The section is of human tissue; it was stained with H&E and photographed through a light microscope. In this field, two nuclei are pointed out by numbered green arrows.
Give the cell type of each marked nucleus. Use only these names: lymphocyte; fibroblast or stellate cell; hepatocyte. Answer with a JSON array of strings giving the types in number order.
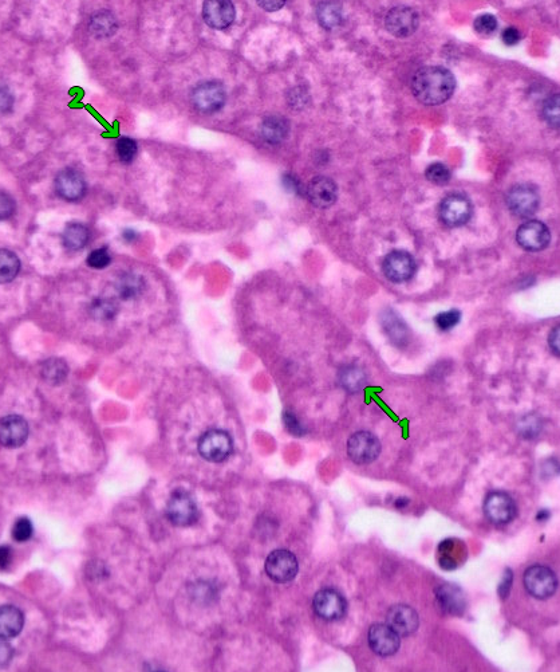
["hepatocyte", "fibroblast or stellate cell"]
